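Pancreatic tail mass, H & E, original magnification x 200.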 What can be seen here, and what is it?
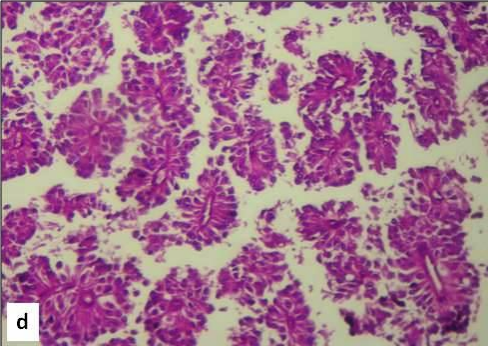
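Here loosely cohesive tumour cells are seen gathered in rounded clusters that are separated by pale, empty spaces. Within many clusters the cells point inward toward a small central core, which looks like a thin blood vessel, so that the cells radiate around it like spokes. The nuclei are dark purple, fairly uniform and oval, crowded toward the outer part of each cluster, leaving a paler pink zone of cytoplasm next to the central vessel. The cells fall apart easily from one another. This radial arrangement around vessels forms pseudorosettes, reminiscent of those seen in ependymoma.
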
